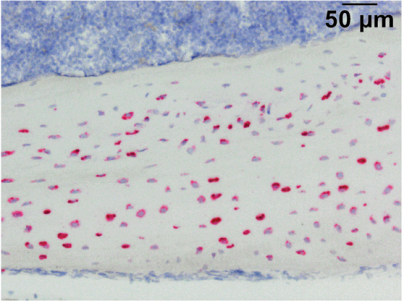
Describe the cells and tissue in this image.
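This field shows cortical bone with osteocytes embedded in a broad band of dense, pale matrix. The osteocytes are small, flattened cells lying in lacunae and oriented roughly along the length of the bone. Many of them are filled with red deposits, and these red cells are spread through the depth of the band rather than only at its edges. Above the bone lies marrow crowded with small blue nuclei, and a thin layer of cells lines the lower surface. Some osteocytes show only a pale pink or blue nucleus without strong red.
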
